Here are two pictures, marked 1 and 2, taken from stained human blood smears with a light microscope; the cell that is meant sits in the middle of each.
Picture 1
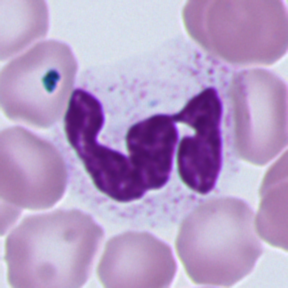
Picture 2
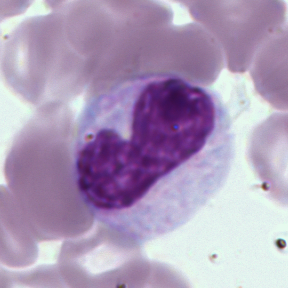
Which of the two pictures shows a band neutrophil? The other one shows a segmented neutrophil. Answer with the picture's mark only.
2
